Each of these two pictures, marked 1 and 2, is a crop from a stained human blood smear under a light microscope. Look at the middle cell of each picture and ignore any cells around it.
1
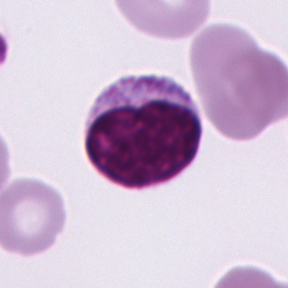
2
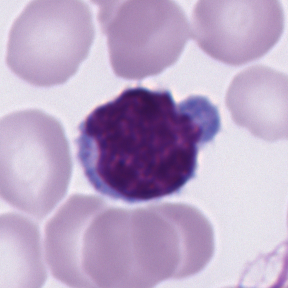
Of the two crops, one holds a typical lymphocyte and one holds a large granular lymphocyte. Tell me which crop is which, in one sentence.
Crop 1 is to be read as a large granular lymphocyte and crop 2 as a typical lymphocyte.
